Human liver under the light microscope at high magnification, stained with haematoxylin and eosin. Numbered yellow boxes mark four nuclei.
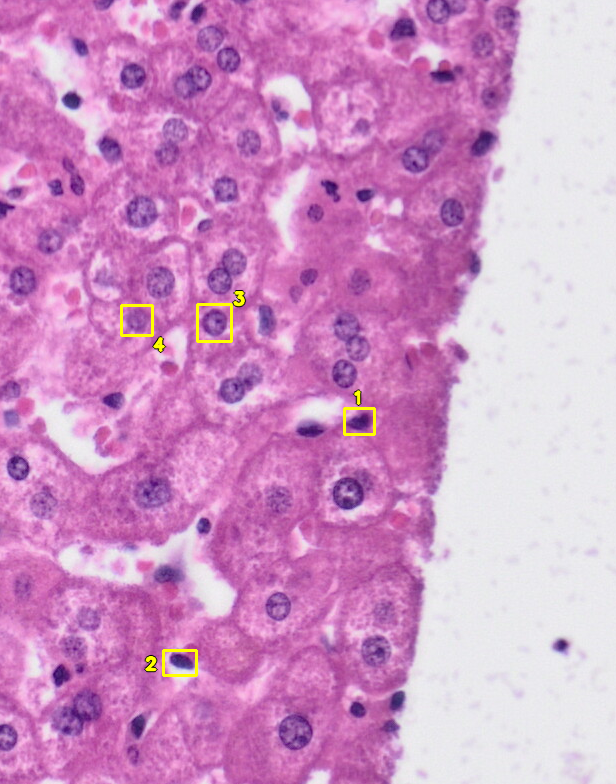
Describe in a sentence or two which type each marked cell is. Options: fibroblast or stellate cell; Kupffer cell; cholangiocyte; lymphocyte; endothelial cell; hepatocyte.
Cell 1 is a fibroblast or stellate cell. Cell 2 is a lymphocyte. Cells 3 and 4 are hepatocytes.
